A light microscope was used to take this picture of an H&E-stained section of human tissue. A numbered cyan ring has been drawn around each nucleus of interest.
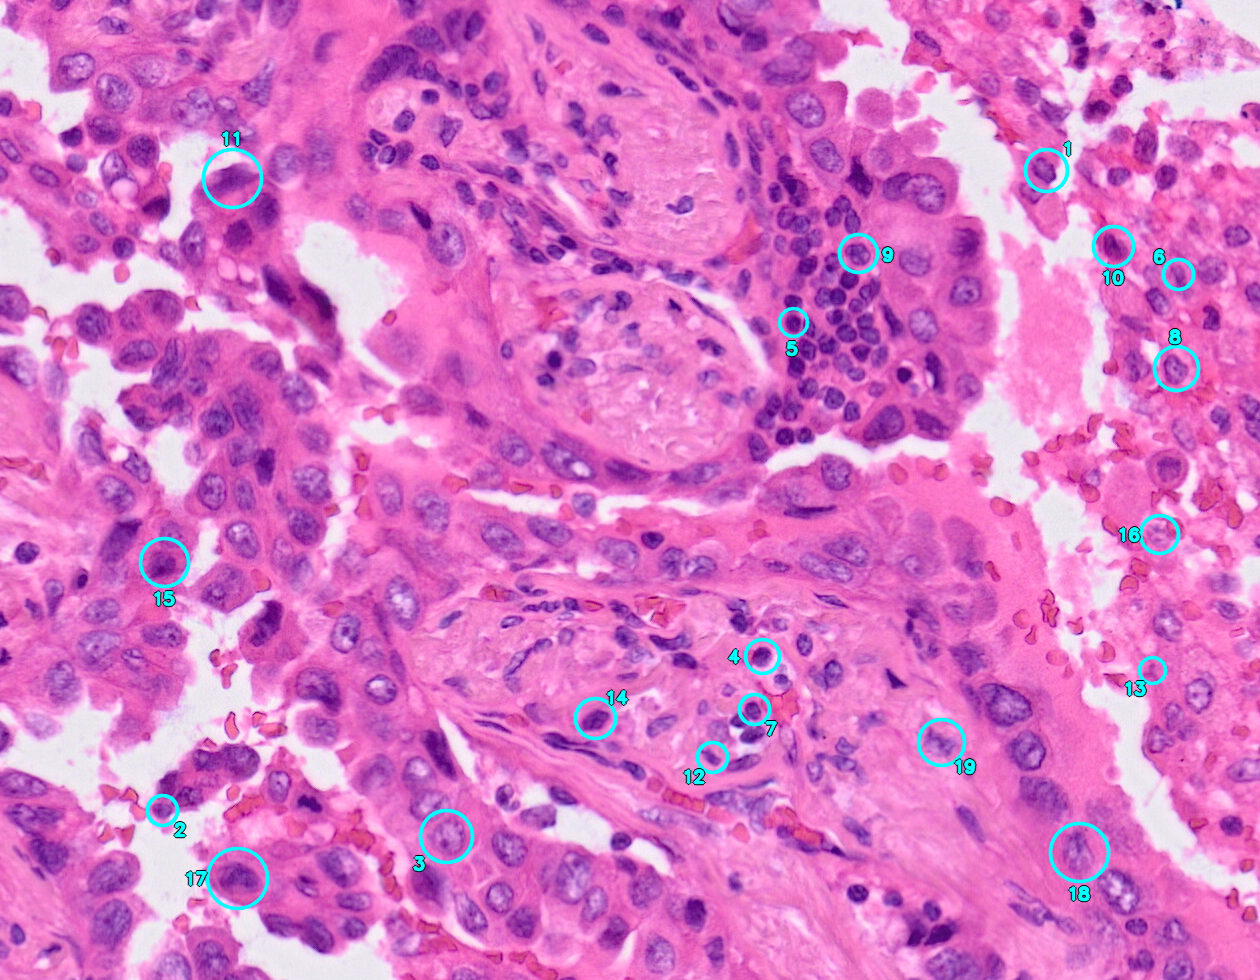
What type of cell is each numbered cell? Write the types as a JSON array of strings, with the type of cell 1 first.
["macrophage or monocyte", "lymphocyte", "carcinoma cell", "lymphocyte", "lymphocyte", "macrophage or monocyte", "lymphocyte", "macrophage or monocyte", "lymphocyte", "macrophage or monocyte", "carcinoma cell", "lymphocyte", "macrophage or monocyte", "plasma cell", "carcinoma cell", "macrophage or monocyte", "carcinoma cell", "carcinoma cell", "fibroblast"]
